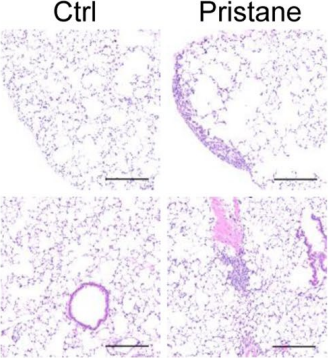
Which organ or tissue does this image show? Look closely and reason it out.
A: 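Thin-walled air spaces form a lace-like network. Blood vessels and airway-like tubes lie among the air spaces.
Answer: Lung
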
